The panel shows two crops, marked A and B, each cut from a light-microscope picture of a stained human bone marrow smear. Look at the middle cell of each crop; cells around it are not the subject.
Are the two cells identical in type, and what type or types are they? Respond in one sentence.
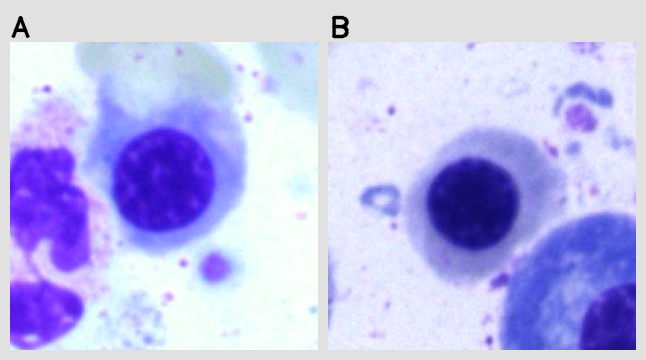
Yes, normoblasts are seen in both crops.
